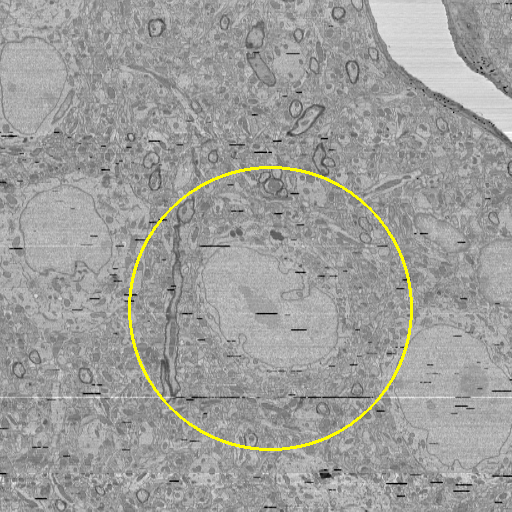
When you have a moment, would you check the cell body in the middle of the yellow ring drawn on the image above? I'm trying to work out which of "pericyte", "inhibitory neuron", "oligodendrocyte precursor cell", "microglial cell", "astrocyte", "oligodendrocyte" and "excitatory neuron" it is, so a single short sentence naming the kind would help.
This cell body belongs to an inhibitory neuron.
